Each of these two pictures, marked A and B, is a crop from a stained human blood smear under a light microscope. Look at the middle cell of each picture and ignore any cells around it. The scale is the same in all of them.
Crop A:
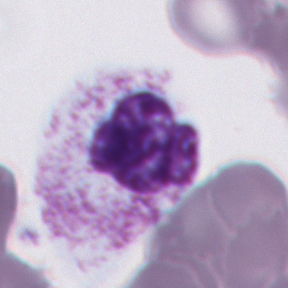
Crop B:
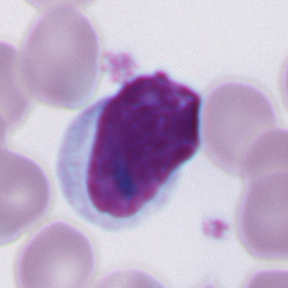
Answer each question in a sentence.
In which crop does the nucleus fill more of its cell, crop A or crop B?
Of the two, the nucleus in crop B makes up the greater part of its cell.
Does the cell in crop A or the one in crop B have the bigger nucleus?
Larger is the nucleus in crop B, at roughly 1.5 times the area of the other.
